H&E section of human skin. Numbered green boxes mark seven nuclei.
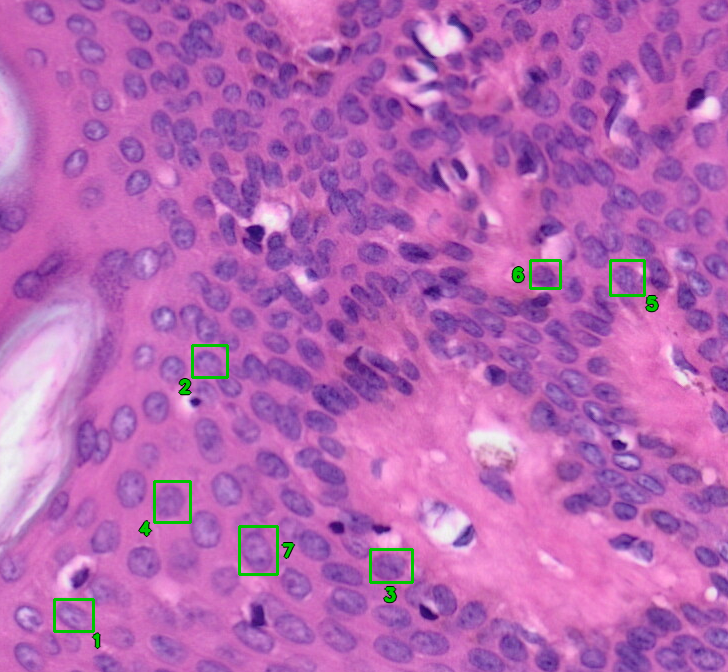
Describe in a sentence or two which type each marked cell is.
Cell 1 is a suprabasal keratinocyte, cell 2 is a suprabasal keratinocyte, cell 3 is a basal keratinocyte, cell 4 is a suprabasal keratinocyte, cell 5 is a basal keratinocyte, cell 6 is a basal keratinocyte and cell 7 is a suprabasal keratinocyte.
